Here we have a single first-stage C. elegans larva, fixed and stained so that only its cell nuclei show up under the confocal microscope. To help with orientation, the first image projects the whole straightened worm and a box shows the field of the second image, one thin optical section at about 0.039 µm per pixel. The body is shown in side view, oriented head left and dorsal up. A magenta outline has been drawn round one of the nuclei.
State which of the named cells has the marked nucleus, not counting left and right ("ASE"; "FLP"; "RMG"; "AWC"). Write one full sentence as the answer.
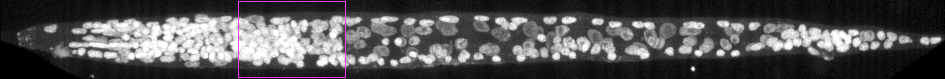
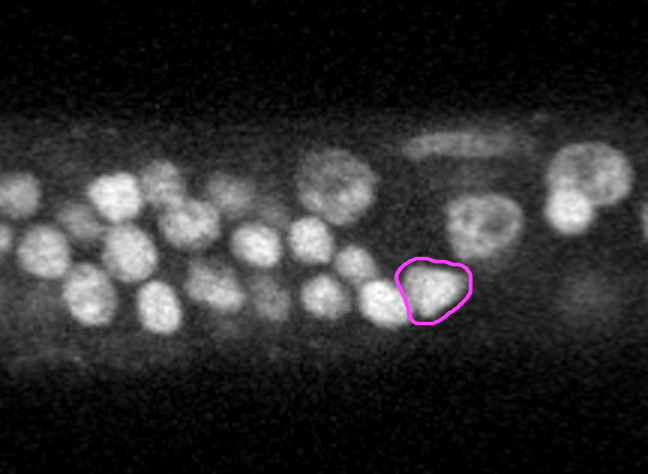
The marked cell is RMG, a neuron.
